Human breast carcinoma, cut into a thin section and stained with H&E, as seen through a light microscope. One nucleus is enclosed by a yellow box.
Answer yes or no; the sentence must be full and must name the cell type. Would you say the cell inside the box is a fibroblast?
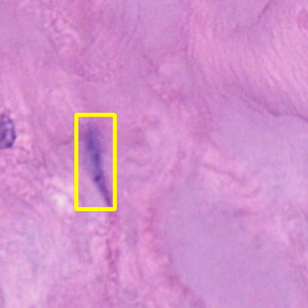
Yes, the cell inside the box qualifies as a fibroblast in this section.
